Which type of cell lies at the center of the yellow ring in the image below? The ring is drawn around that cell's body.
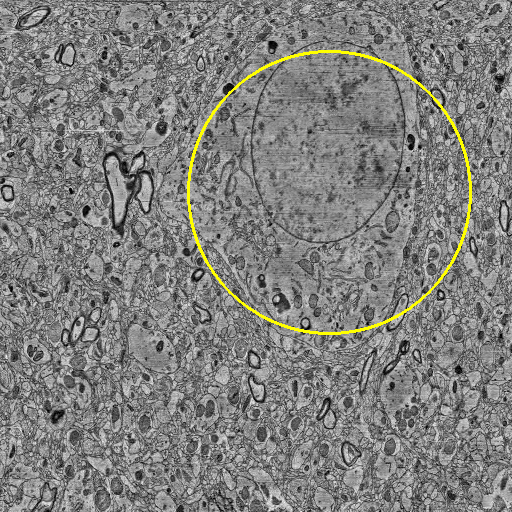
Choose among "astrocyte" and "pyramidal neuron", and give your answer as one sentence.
The cell body at the center belongs to a pyramidal neuron.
